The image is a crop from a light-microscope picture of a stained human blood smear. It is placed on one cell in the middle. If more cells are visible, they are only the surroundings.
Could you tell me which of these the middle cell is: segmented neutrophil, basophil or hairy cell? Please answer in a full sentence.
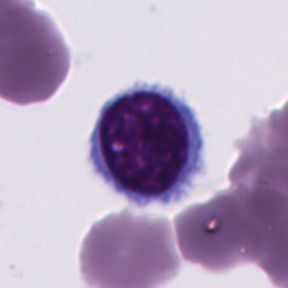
To answer, the cell in the center of the crop is a hairy cell.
